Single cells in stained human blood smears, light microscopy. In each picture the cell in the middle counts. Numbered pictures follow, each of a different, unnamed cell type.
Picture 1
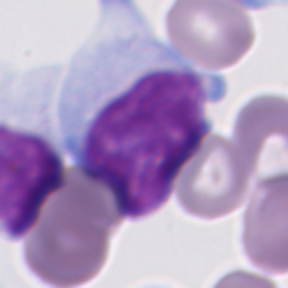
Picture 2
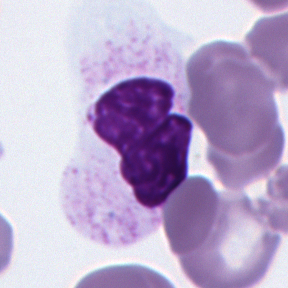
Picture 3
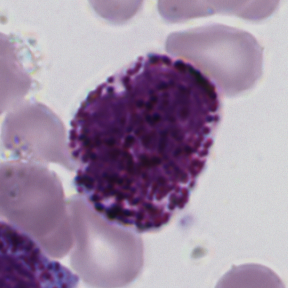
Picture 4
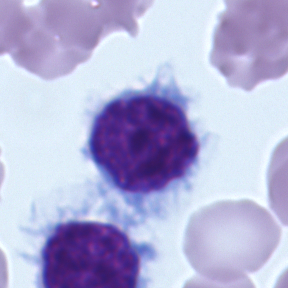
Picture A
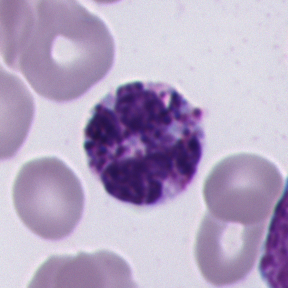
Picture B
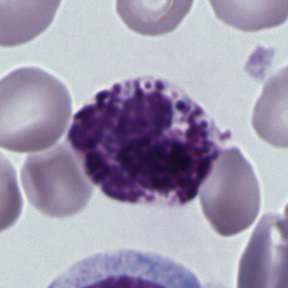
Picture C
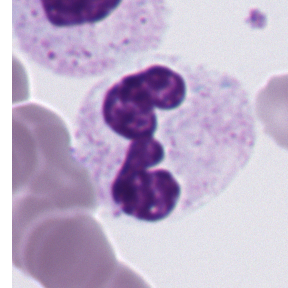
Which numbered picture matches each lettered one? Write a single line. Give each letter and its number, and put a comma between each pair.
A 3, B 3, C 2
